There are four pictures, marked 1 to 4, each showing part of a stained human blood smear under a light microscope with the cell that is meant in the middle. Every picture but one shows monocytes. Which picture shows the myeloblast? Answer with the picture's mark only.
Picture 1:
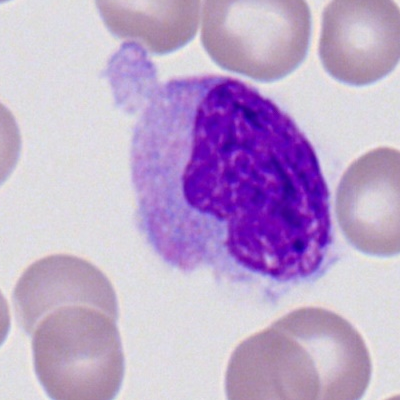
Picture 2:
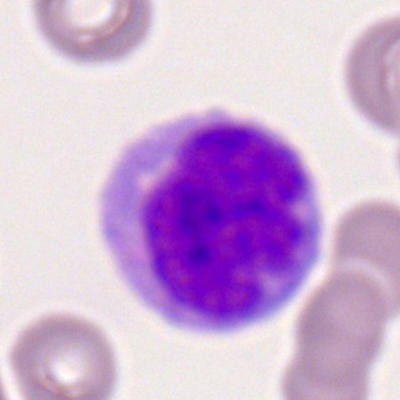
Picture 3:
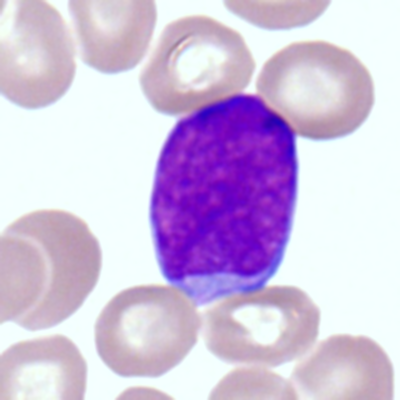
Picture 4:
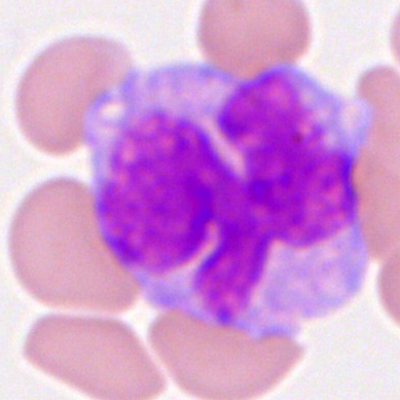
3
